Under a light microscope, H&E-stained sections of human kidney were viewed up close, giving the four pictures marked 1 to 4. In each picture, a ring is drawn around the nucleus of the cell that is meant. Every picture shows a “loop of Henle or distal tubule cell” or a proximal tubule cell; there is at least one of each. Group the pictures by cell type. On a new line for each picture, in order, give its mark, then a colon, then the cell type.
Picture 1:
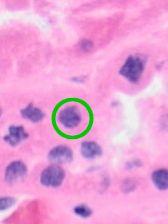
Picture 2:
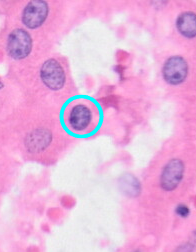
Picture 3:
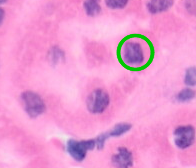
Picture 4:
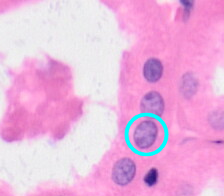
1: loop of Henle or distal tubule cell
2: proximal tubule cell
3: proximal tubule cell
4: proximal tubule cell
